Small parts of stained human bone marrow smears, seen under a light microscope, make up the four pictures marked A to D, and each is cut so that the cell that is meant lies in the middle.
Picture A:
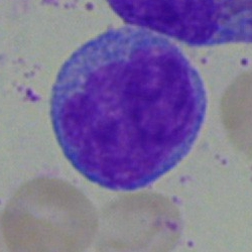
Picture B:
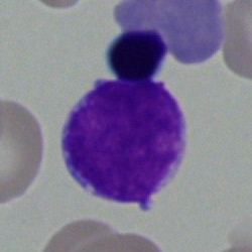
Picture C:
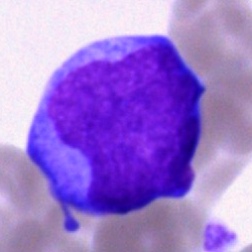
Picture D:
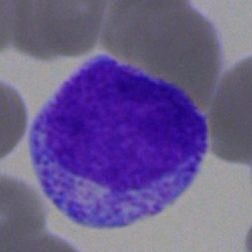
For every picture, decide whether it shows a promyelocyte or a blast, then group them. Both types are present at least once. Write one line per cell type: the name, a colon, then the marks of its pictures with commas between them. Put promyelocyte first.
promyelocyte: D
blast: A, B, C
